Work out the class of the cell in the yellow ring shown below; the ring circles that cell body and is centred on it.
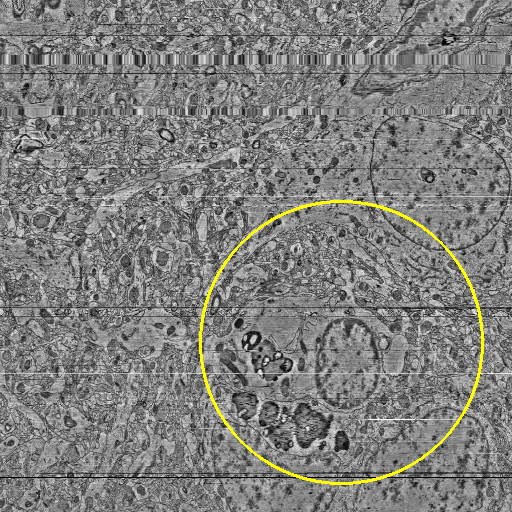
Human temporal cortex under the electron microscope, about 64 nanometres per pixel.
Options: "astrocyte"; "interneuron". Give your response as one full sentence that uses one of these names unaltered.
The body ringed in yellow, right at the ring's centre, is that of an astrocyte.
